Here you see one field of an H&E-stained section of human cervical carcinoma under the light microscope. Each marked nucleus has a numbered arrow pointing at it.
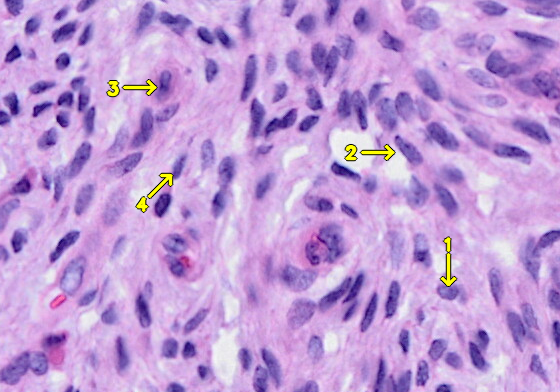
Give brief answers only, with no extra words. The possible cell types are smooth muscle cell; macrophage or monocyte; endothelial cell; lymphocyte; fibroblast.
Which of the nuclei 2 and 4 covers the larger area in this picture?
2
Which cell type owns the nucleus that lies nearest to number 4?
fibroblast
